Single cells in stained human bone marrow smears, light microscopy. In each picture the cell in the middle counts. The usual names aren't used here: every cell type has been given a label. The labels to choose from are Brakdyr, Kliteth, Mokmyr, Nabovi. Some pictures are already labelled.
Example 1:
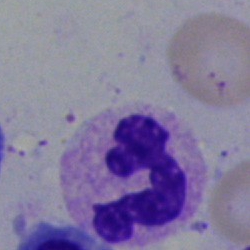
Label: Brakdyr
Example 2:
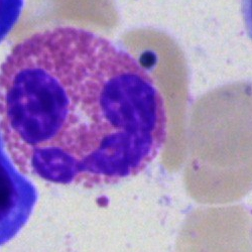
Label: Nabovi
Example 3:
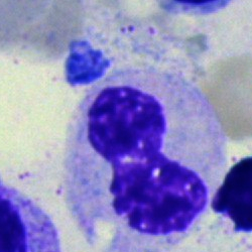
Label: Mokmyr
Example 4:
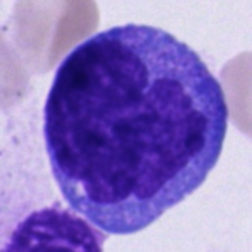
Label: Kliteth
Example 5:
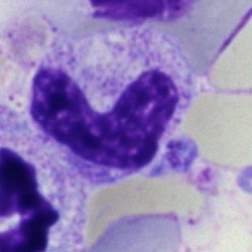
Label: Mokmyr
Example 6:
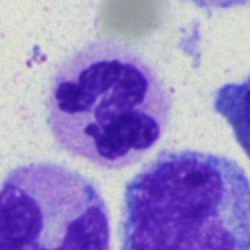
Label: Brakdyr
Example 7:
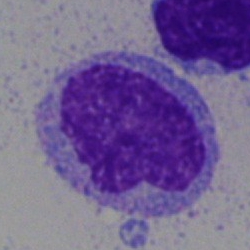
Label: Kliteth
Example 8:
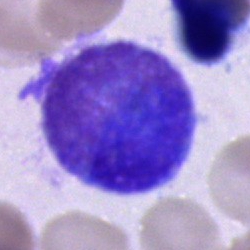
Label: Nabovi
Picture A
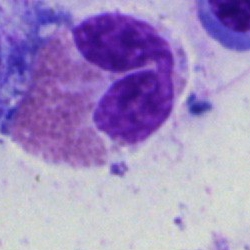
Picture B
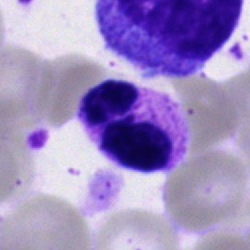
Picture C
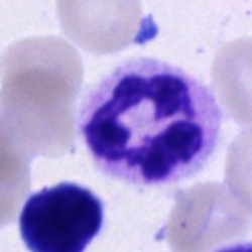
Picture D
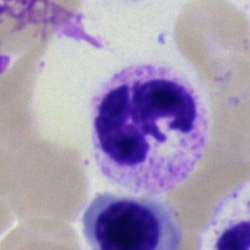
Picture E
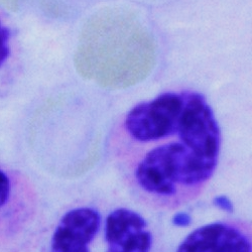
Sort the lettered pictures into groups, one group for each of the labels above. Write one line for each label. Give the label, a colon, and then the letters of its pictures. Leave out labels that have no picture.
Brakdyr: B, C, D
Mokmyr: E
Nabovi: A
